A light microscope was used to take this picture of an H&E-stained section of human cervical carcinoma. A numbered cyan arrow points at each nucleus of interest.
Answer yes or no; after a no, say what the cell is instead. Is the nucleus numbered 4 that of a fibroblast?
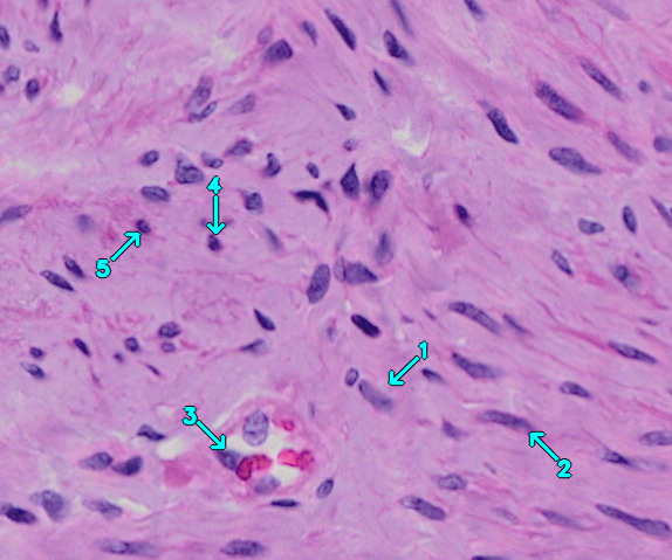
Yes.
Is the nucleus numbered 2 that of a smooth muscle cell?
Yes.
